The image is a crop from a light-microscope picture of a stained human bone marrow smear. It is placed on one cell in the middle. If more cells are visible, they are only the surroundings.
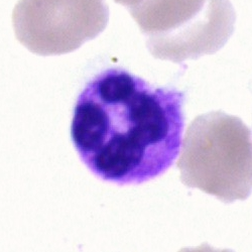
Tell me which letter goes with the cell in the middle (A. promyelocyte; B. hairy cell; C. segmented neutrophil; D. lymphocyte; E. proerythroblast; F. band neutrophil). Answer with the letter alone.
C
